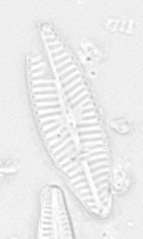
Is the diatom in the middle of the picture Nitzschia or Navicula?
It is Navicula.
